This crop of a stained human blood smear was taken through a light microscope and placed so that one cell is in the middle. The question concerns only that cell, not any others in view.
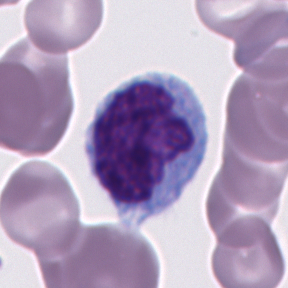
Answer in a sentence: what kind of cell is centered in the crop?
The cell in the exact centre of the crop is a monocyte.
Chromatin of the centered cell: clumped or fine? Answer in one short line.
One feature to record is coarsely clumped chromatin.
